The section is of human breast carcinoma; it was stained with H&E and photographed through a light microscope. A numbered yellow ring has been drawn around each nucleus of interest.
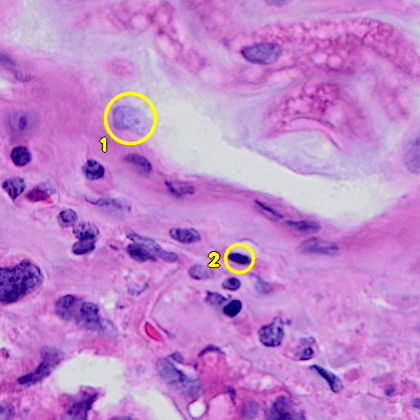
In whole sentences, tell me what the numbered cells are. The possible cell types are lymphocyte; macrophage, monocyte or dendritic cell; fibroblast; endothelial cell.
Cell 1 is a fibroblast. Cell 2 is a lymphocyte.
